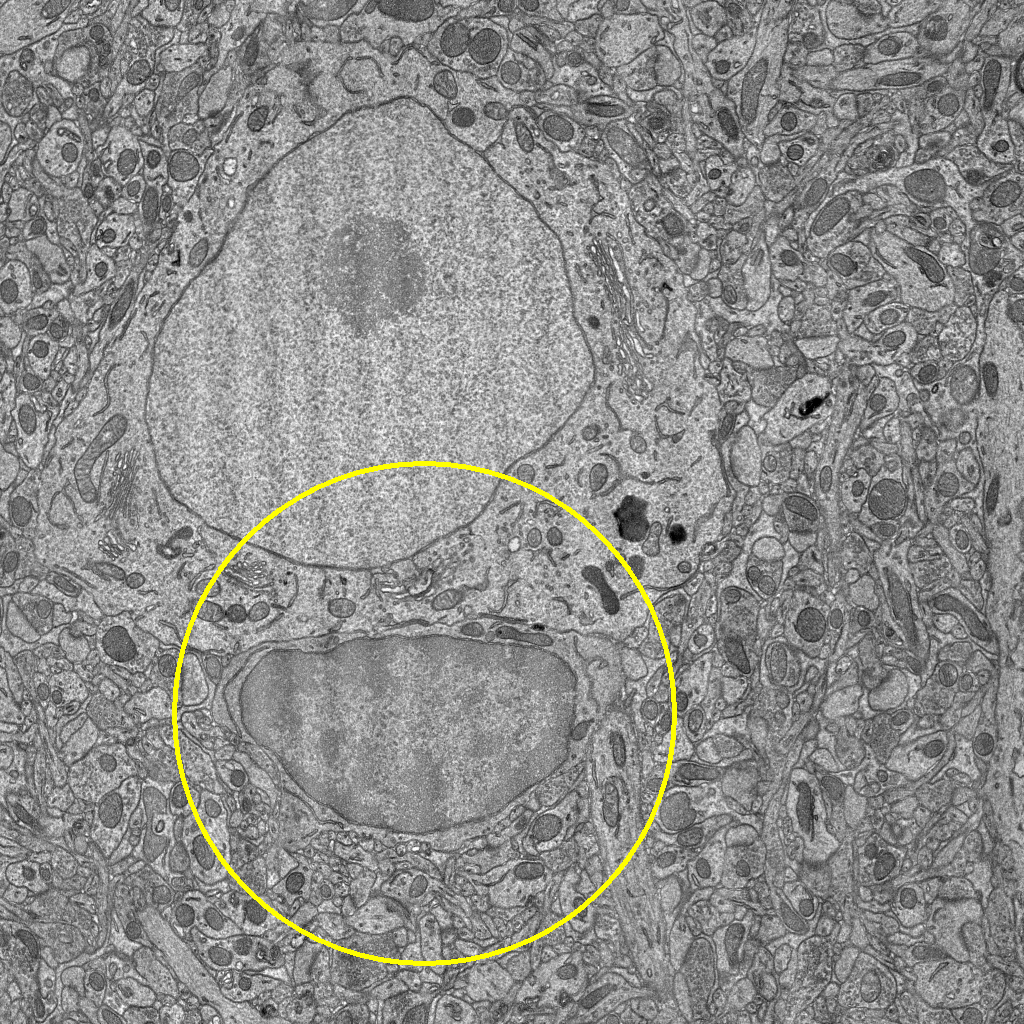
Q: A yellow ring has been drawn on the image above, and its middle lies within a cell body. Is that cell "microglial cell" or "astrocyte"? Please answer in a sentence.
The ring's middle lies in the cell body of a microglial cell.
